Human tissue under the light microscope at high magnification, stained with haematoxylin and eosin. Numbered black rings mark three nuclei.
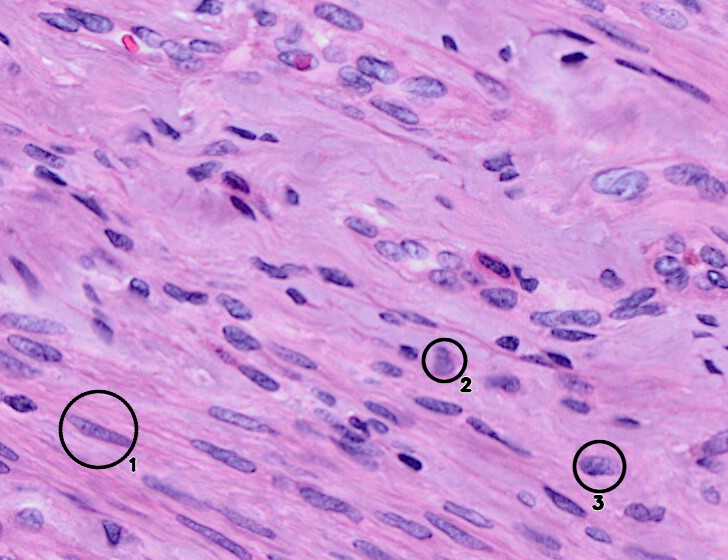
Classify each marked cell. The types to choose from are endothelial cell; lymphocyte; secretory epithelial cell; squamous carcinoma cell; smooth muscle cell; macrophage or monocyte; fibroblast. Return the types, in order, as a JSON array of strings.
["smooth muscle cell", "fibroblast", "fibroblast"]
